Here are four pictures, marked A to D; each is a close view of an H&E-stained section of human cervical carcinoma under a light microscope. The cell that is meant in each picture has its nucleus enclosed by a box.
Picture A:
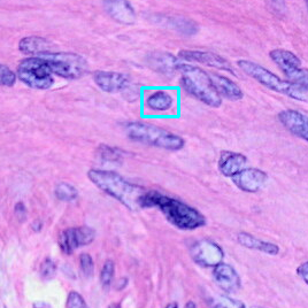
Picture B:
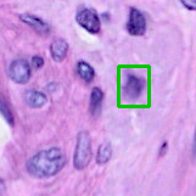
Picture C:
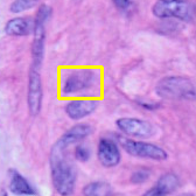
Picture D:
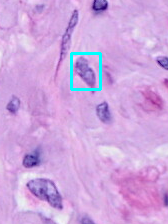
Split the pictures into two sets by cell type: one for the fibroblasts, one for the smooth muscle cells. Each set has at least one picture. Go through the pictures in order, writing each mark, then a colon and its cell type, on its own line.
A: smooth muscle cell
B: fibroblast
C: smooth muscle cell
D: fibroblast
